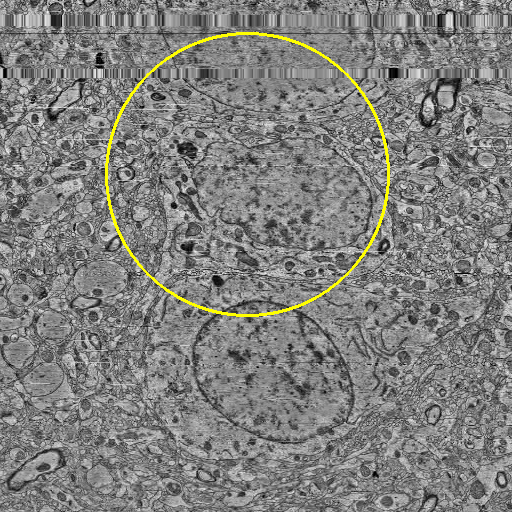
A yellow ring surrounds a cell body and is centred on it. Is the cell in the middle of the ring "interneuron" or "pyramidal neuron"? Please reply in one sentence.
The ring is centred on an interneuron.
